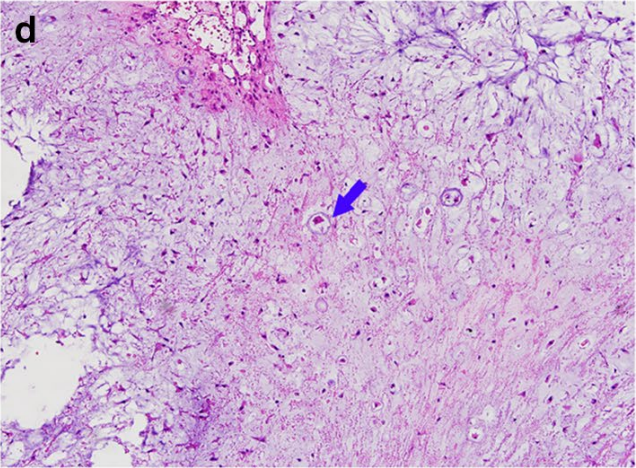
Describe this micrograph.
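This is cartilage-forming tumor tissue, made up of many small rounded chondrocytes scattered in a pale, bluish-pink chondroid matrix. Many of the cells sit singly in lacunae with a clear halo around a small dark nucleus. In places the matrix is looser, with a stringy, bluish, myxoid appearance.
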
